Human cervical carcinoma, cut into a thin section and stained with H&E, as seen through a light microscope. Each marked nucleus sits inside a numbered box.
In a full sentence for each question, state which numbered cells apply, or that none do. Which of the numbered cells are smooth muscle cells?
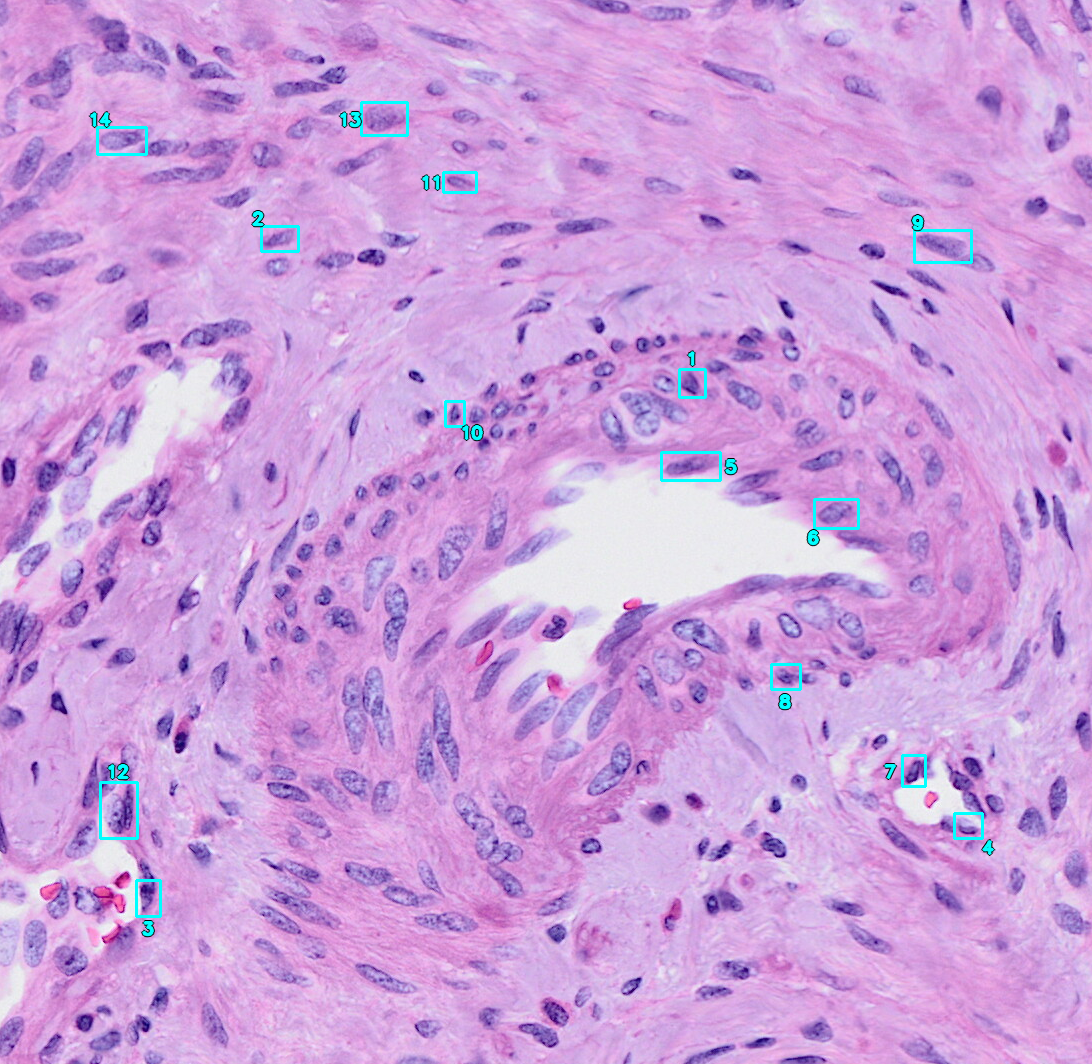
The cells labelled 1, 2, 6, 8, 10, 11, 13 and 14 in this section are smooth muscle cells.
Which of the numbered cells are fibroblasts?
There is only one numbered cell that is a fibroblast, and it is cell 9.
